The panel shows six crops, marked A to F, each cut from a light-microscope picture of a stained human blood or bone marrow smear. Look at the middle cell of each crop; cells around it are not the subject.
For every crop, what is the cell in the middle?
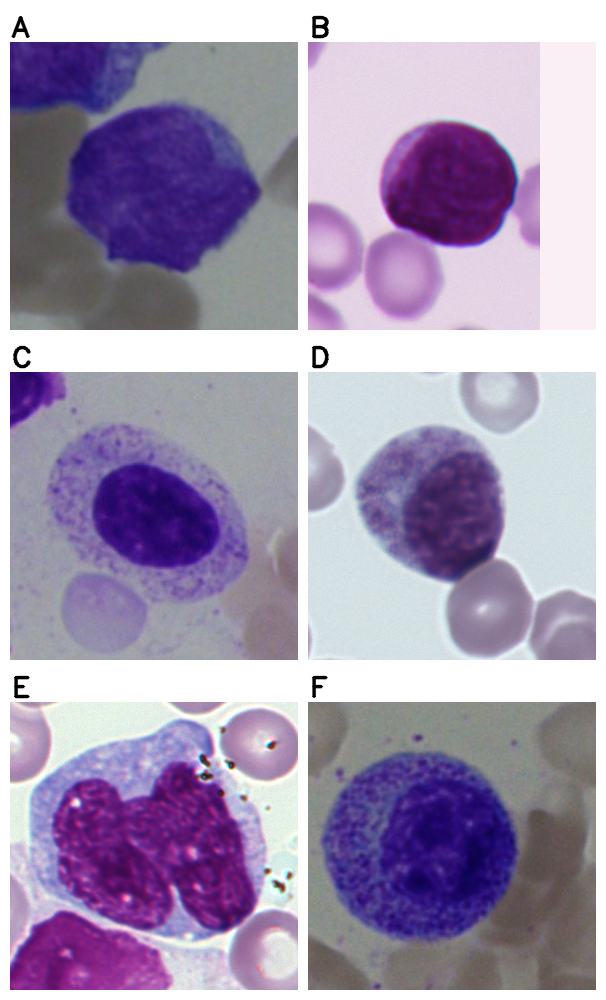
A: blast
B: blast
C: myelocyte
D: myelocyte
E: monocyte
F: myelocyte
